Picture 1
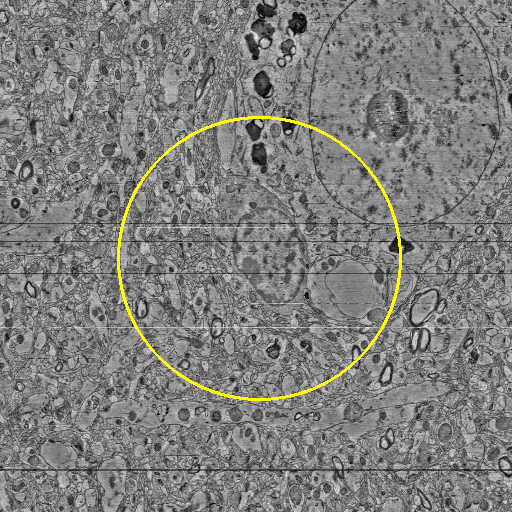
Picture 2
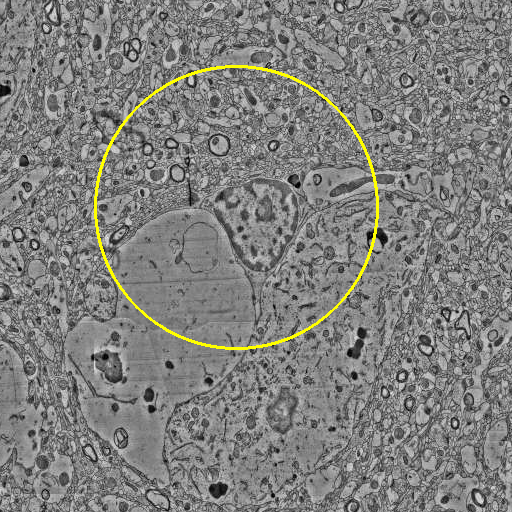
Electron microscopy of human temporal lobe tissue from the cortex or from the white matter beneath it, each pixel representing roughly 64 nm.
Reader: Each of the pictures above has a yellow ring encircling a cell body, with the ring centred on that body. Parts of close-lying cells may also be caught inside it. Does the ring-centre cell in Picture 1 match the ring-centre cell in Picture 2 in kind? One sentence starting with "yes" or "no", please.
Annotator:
No, Picture 1 and Picture 2 show ring-centre cells of two kinds.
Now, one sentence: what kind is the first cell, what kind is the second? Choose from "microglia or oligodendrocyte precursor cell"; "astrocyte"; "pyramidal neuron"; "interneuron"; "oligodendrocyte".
The first picture has an oligodendrocyte at its ring centre, and the second has a microglial cell or oligodendrocyte precursor cell.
